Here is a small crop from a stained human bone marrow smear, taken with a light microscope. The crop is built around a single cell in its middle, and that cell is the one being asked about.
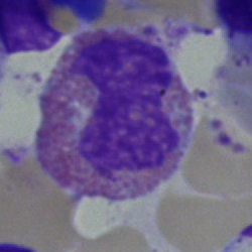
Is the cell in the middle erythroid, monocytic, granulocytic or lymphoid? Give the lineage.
granulocytic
